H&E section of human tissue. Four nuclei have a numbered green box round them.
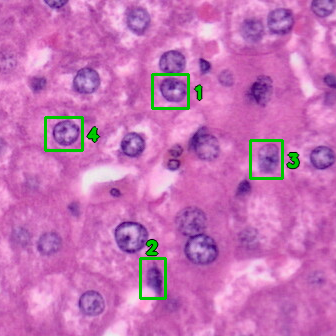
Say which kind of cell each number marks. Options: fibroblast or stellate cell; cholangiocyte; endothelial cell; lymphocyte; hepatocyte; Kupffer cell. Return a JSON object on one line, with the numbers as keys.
{"1": "hepatocyte", "2": "fibroblast or stellate cell", "3": "endothelial cell", "4": "hepatocyte"}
